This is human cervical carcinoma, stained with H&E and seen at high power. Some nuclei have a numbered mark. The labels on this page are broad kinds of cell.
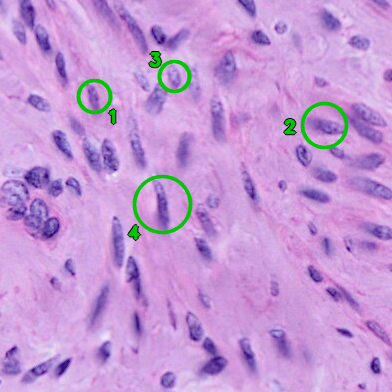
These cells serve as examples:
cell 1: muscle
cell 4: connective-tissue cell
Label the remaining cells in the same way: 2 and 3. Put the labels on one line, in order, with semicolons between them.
muscle; muscle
